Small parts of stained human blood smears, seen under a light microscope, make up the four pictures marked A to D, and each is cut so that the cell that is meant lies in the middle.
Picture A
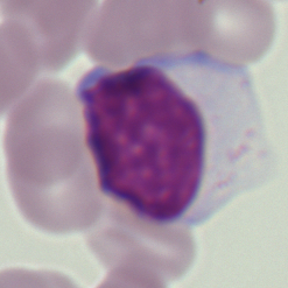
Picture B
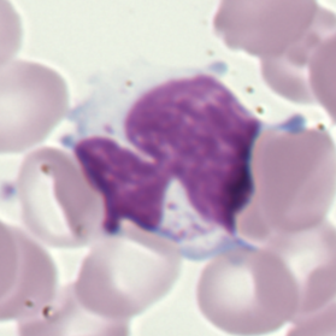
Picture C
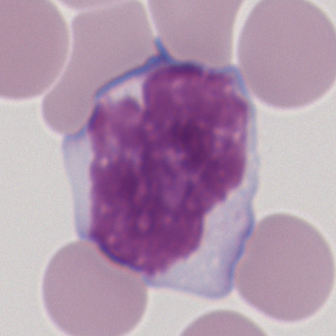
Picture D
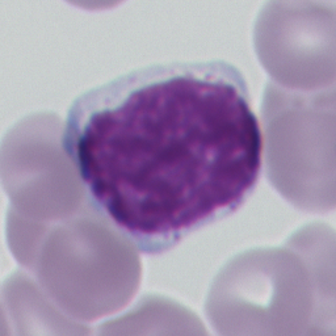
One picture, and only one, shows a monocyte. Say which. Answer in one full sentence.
The monocyte is the one in picture C.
